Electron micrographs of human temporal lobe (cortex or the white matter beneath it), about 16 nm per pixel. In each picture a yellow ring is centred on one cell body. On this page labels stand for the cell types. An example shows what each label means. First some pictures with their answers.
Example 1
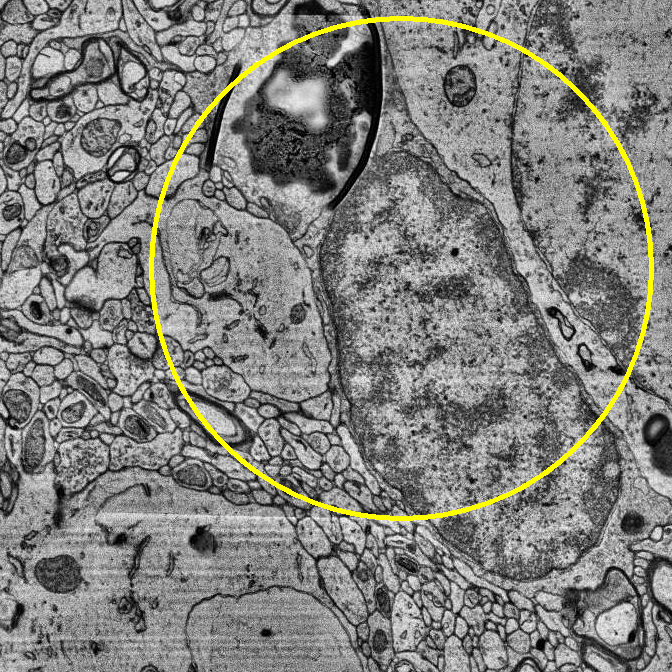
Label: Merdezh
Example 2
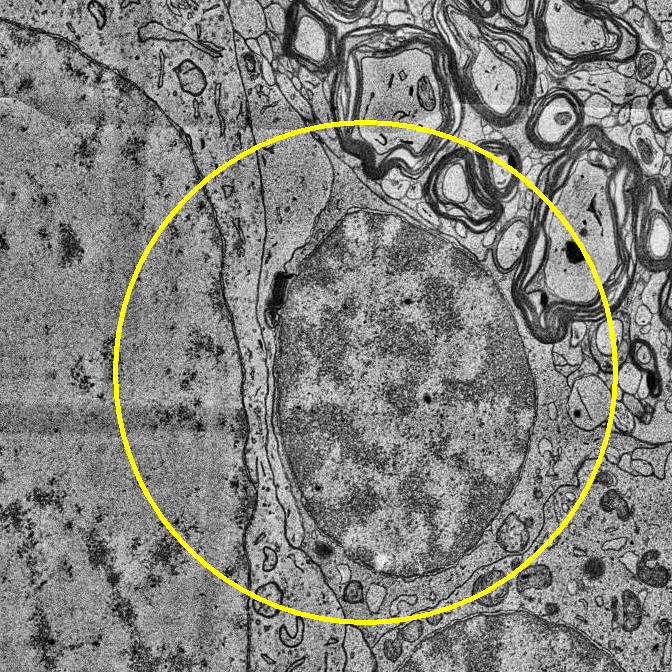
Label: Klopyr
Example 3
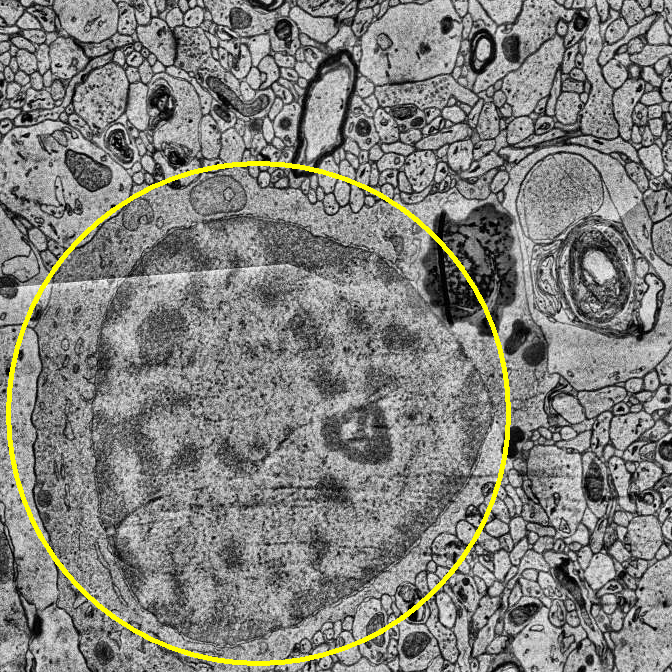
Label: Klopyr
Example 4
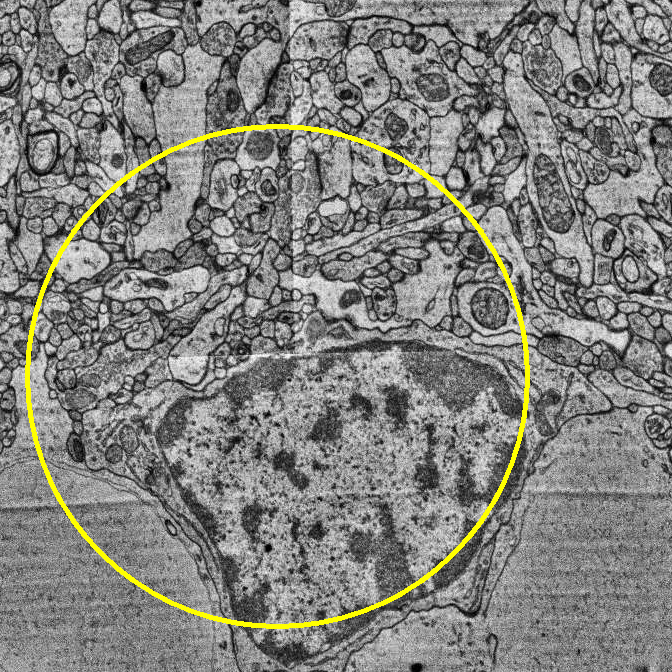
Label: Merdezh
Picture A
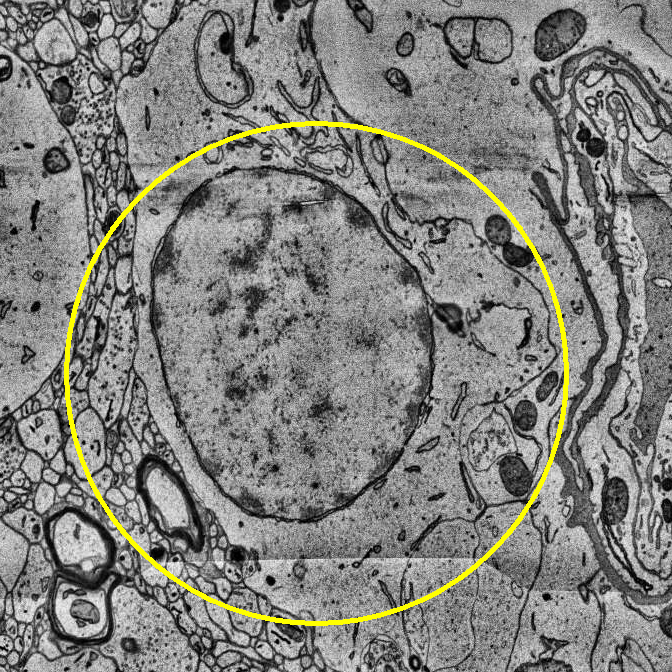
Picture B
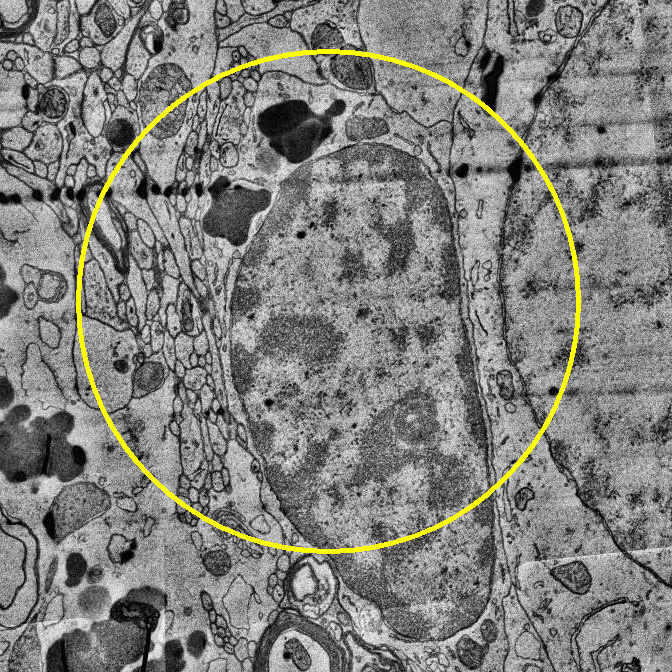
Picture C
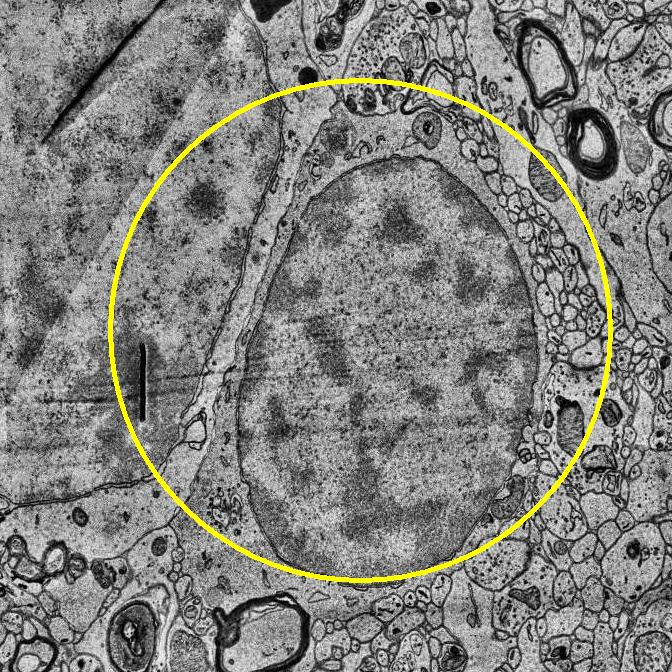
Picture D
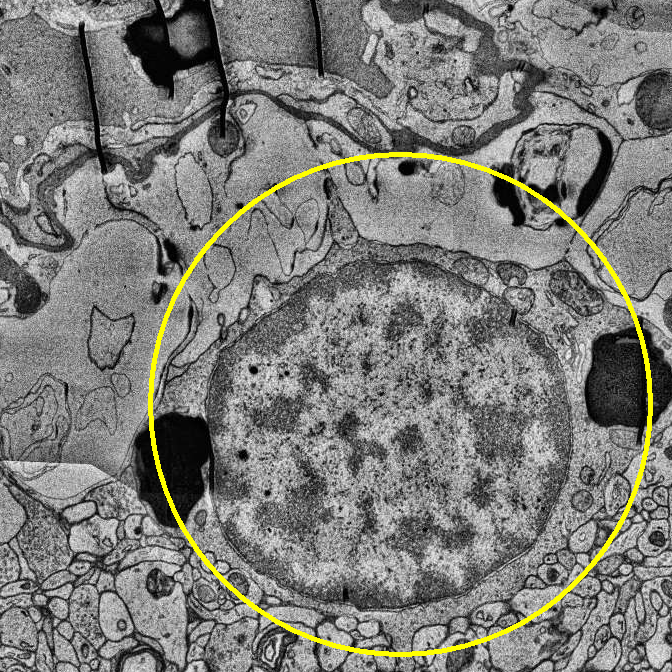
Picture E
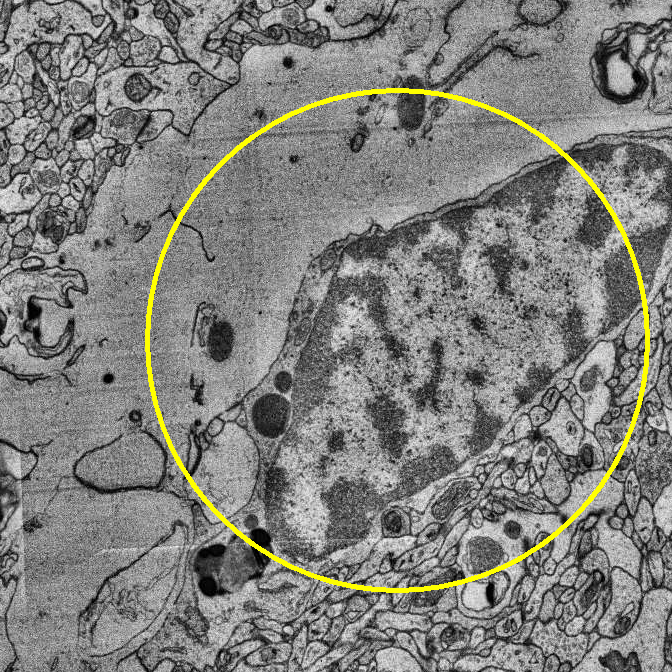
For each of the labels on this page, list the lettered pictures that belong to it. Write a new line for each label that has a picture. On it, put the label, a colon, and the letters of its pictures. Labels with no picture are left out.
Merdezh: A, B, E
Klopyr: C, D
